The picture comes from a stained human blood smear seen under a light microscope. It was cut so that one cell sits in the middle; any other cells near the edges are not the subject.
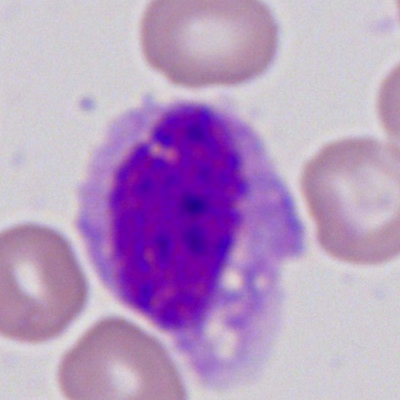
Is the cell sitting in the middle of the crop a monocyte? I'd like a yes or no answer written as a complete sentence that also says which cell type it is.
Yes, this central cell is a monocyte.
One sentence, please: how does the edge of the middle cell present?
This cell does not have a smooth edge; it is ragged or extended into projections.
